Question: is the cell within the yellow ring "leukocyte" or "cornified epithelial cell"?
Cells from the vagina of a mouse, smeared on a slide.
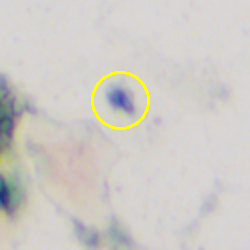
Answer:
leukocyte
